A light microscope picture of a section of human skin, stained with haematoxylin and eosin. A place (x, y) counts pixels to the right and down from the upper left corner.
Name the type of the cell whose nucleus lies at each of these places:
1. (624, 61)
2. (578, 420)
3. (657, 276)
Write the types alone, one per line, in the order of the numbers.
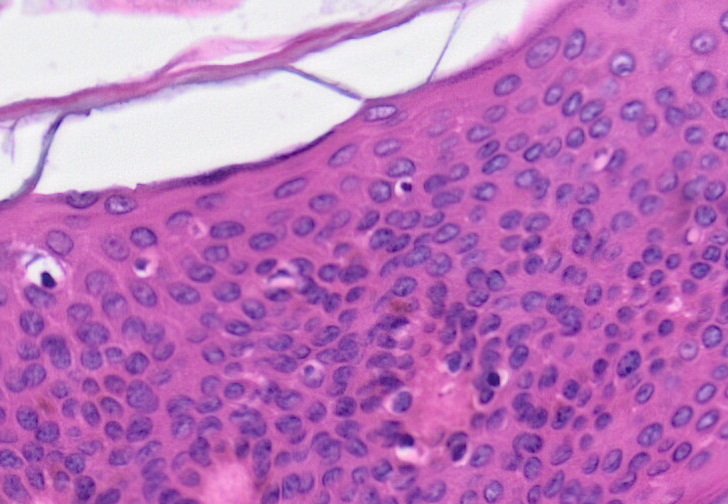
suprabasal keratinocyte
basal keratinocyte
basal keratinocyte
